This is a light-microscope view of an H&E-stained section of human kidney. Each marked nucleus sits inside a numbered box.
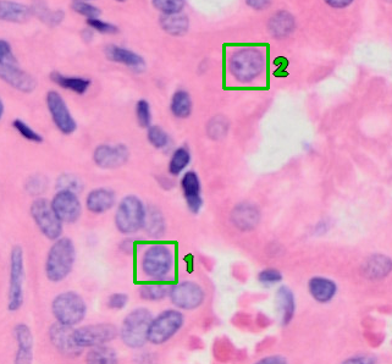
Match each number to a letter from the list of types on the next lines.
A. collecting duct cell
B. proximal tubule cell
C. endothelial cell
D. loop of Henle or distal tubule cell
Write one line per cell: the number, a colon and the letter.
1: A
2: B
